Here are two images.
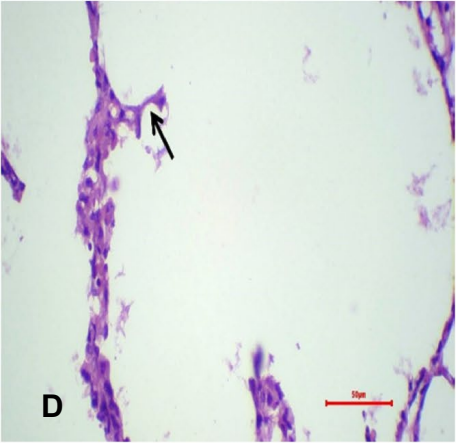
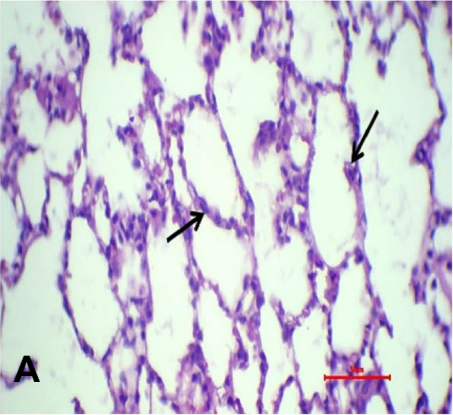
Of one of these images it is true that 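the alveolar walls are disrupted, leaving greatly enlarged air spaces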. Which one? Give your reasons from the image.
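First image: one huge air space with only remnants of broken septa at its margins. That points to this answer: the first image.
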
